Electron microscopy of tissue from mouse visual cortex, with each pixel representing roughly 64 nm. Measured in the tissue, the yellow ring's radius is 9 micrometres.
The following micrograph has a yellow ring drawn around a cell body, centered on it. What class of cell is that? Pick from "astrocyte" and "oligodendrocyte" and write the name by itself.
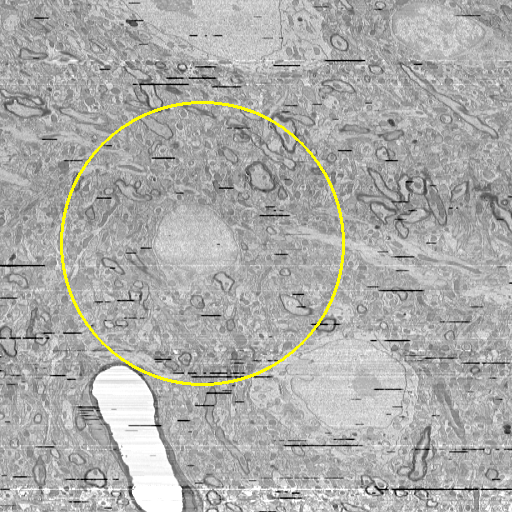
astrocyte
